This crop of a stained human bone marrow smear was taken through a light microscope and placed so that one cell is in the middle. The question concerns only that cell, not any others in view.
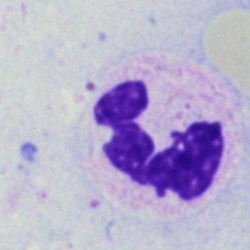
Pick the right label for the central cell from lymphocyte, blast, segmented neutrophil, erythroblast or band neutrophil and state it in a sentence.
The cell of interest, in the center, is a segmented neutrophil.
